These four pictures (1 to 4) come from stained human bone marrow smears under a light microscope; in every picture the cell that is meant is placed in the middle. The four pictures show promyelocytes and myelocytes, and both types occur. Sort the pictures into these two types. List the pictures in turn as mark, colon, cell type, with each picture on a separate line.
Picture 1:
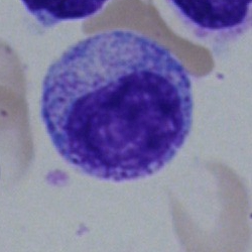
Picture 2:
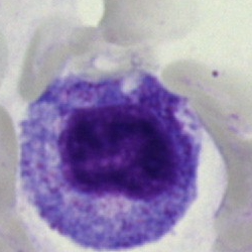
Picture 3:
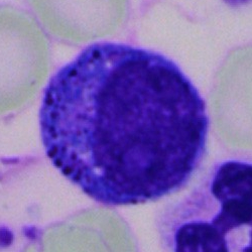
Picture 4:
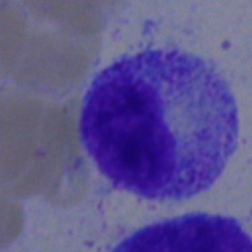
1: myelocyte
2: promyelocyte
3: promyelocyte
4: myelocyte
